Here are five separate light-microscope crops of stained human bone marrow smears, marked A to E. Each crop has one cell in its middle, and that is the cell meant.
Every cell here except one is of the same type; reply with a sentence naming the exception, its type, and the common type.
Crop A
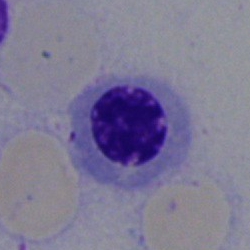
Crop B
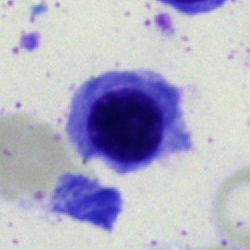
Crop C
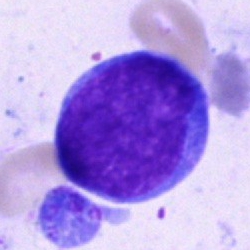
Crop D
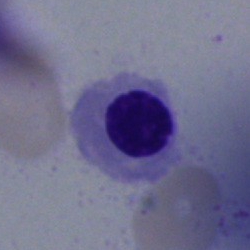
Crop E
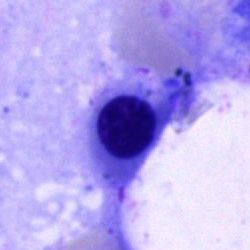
The single exception is crop C, which is a blast; all other crops show erythroblasts.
